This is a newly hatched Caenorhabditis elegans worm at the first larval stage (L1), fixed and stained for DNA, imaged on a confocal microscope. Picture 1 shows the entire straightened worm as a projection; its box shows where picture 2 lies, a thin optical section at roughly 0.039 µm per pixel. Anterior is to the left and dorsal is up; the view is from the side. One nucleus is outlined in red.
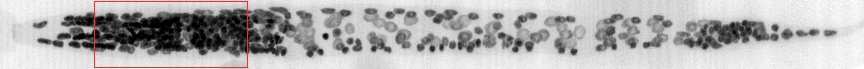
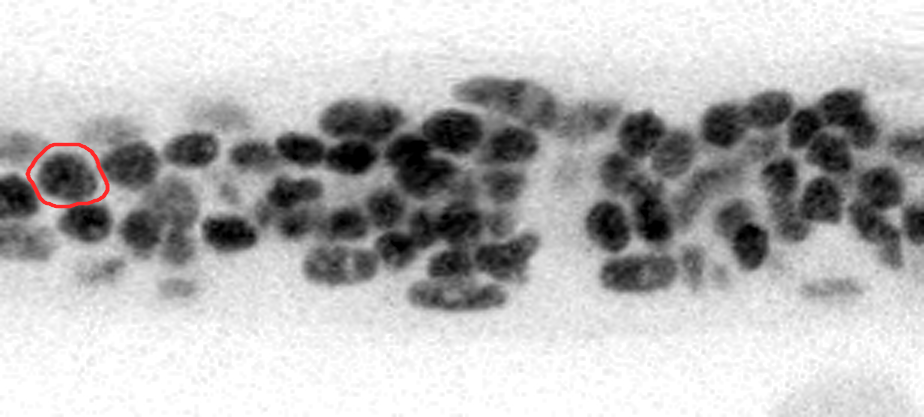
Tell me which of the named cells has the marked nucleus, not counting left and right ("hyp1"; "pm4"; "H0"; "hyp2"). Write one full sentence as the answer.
The marked nucleus belongs to hyp2, a hypodermal cell (hyp).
